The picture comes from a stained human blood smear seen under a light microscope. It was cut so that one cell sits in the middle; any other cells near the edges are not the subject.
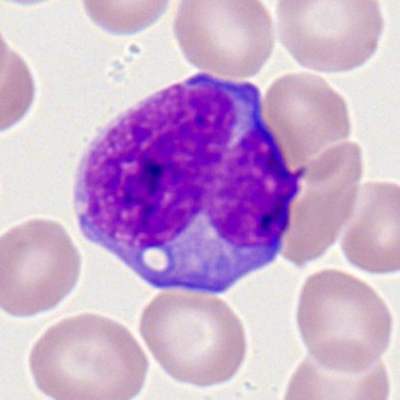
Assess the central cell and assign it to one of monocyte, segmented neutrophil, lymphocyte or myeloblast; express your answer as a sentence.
What the crop centres on is a myeloblast.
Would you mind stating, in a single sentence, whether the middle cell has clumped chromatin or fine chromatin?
In this cell the chromatin is fine rather than coarsely clumped.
